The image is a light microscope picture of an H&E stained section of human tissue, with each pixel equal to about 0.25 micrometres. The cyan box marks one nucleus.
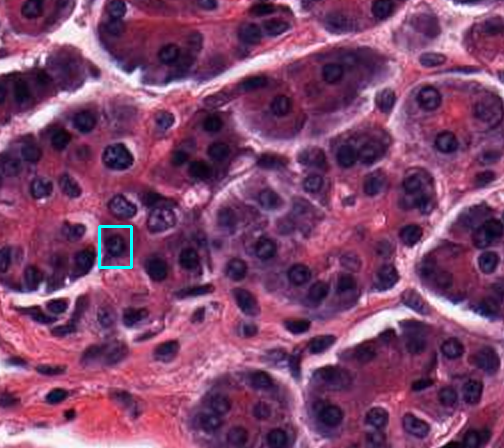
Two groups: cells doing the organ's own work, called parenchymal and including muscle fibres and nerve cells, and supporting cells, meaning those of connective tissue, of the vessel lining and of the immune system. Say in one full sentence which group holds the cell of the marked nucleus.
The marked nucleus is carried by a parenchymal cell, namely a pancreatic acinar cell.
